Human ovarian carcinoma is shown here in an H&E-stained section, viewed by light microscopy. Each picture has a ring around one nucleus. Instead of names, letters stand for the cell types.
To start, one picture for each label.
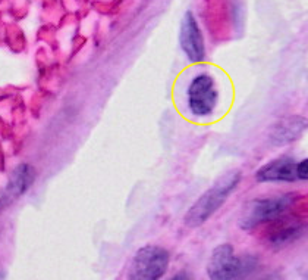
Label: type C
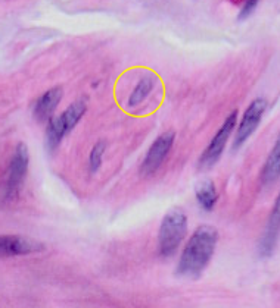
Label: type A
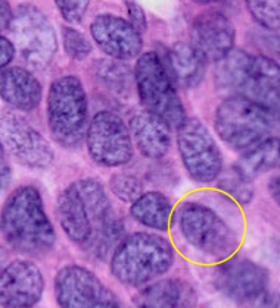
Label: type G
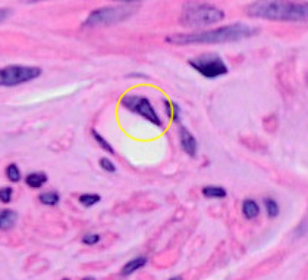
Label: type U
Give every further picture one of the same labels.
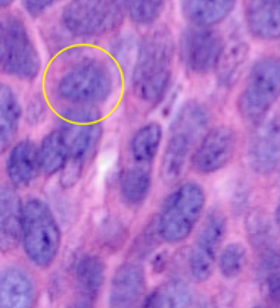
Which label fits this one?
type G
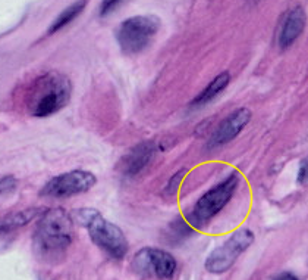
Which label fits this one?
type A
